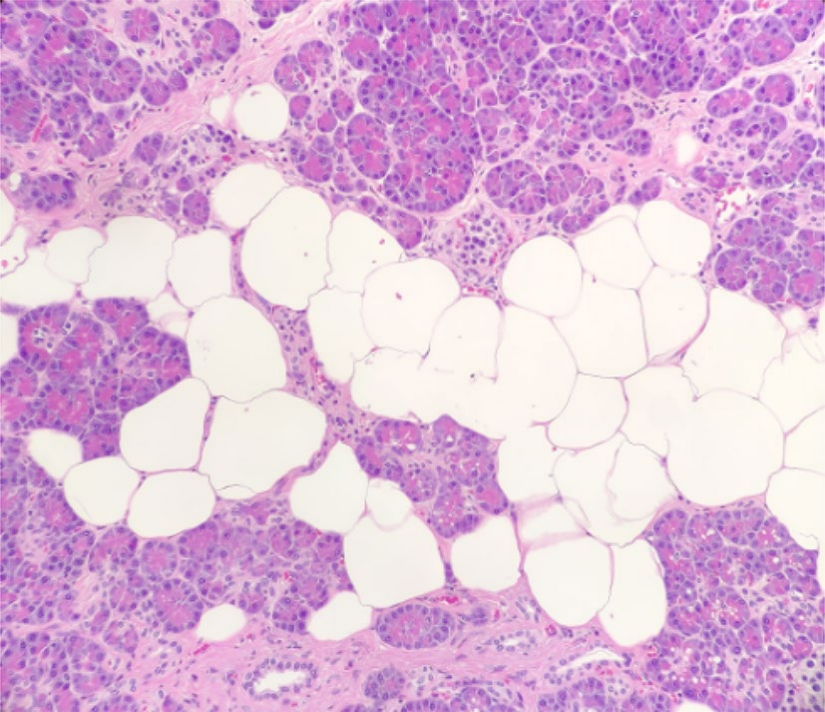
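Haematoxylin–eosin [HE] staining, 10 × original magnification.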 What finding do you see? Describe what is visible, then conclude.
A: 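A broad band of large, round to polygonal, empty-looking cells with thin pink borders runs across the middle of the field. These empty cells lie directly among clusters of purple glandular cells rather than in a separate capsule. So: adipose tissue infiltration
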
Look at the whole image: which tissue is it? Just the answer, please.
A: pancreatic acinar parenchyma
